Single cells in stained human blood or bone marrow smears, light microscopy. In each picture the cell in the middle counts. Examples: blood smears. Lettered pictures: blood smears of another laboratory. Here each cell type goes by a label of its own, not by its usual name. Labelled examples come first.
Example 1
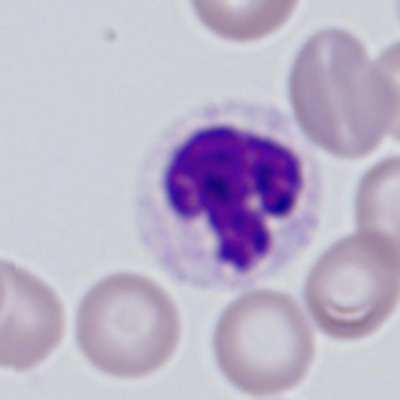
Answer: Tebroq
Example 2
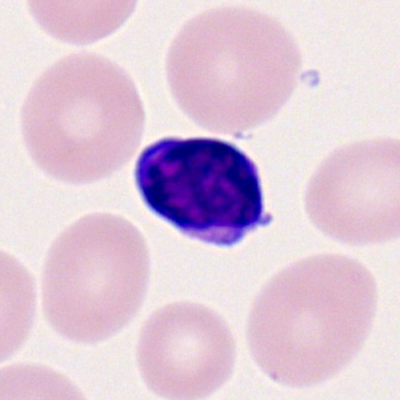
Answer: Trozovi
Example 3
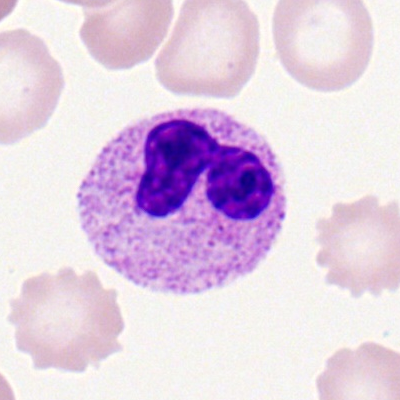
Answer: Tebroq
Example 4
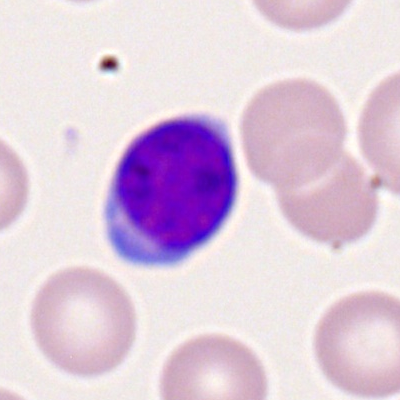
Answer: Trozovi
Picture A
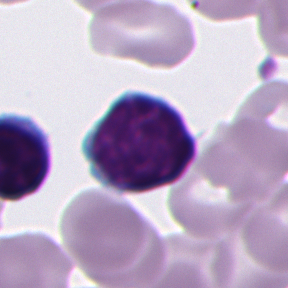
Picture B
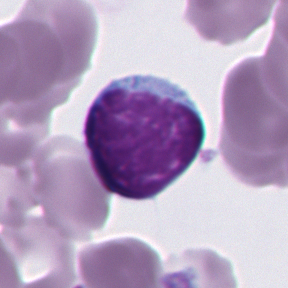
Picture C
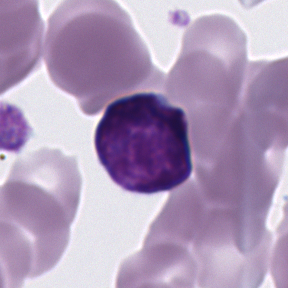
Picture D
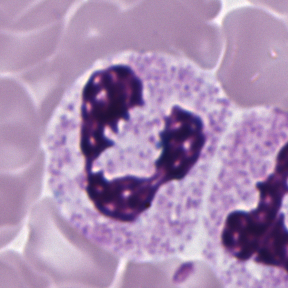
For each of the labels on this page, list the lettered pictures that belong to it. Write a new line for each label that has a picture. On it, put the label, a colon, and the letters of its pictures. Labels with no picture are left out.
Tebroq: D
Trozovi: A, B, C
